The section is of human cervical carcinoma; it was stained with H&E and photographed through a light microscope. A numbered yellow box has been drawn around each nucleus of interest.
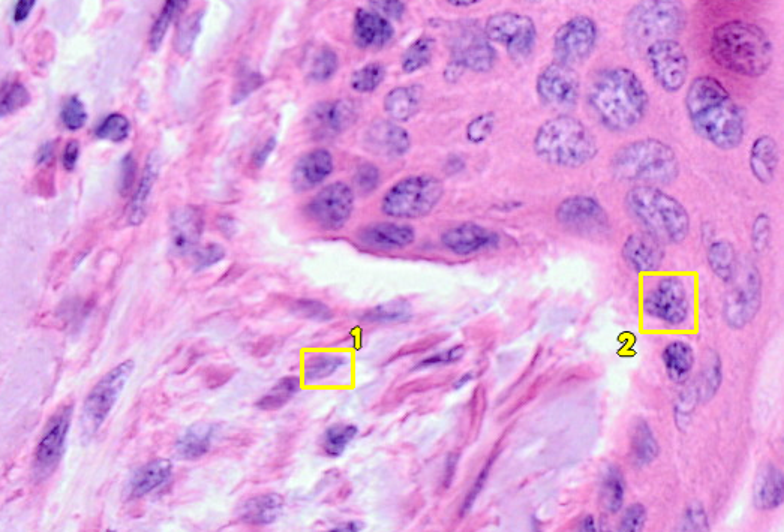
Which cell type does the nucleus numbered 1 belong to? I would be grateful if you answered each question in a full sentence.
Cell 1 in the field of view is a fibroblast.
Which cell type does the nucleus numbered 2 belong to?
As for number 2, that cell is a squamous carcinoma cell.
